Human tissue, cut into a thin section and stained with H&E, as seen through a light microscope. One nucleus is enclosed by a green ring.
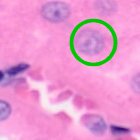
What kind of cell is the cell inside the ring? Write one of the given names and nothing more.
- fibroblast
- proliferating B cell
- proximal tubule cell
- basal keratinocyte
proximal tubule cell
